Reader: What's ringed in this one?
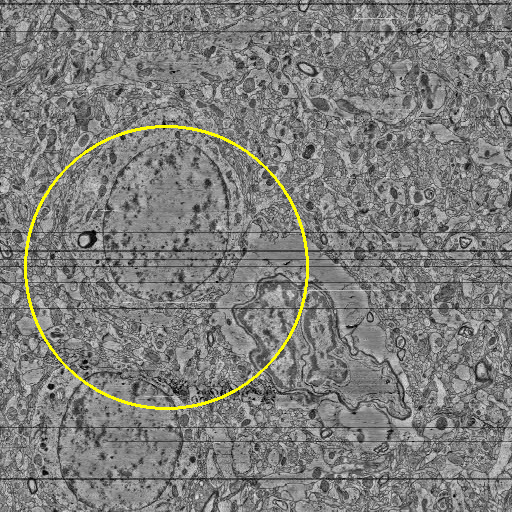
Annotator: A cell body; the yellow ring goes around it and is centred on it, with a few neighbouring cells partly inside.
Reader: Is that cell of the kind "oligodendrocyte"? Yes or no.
no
